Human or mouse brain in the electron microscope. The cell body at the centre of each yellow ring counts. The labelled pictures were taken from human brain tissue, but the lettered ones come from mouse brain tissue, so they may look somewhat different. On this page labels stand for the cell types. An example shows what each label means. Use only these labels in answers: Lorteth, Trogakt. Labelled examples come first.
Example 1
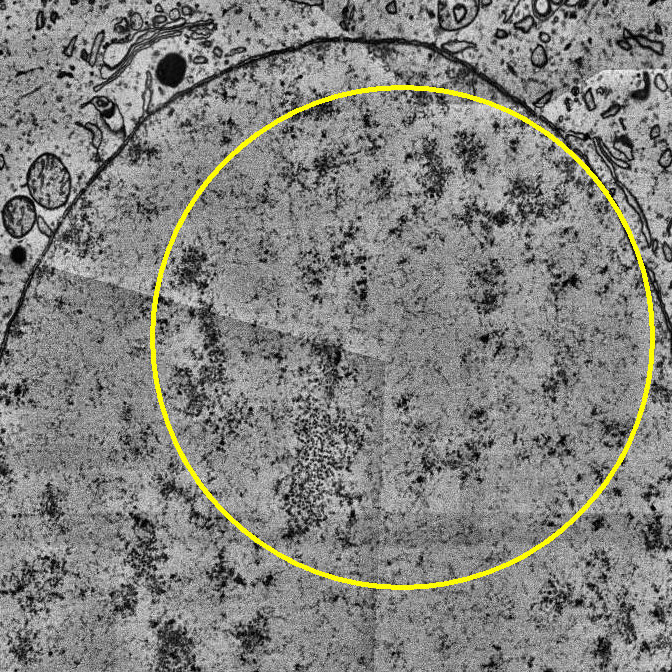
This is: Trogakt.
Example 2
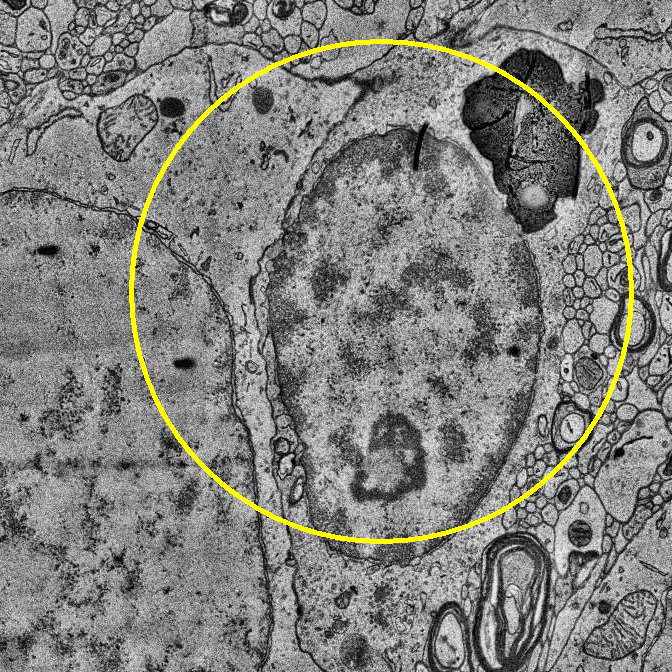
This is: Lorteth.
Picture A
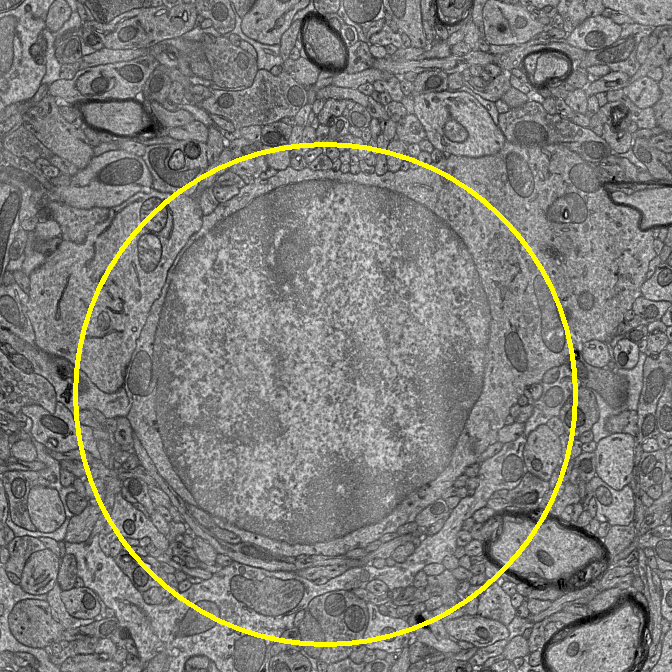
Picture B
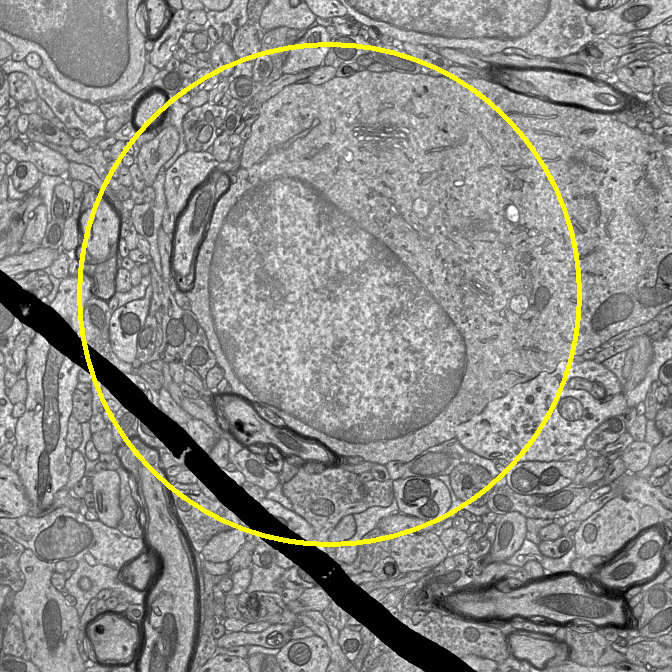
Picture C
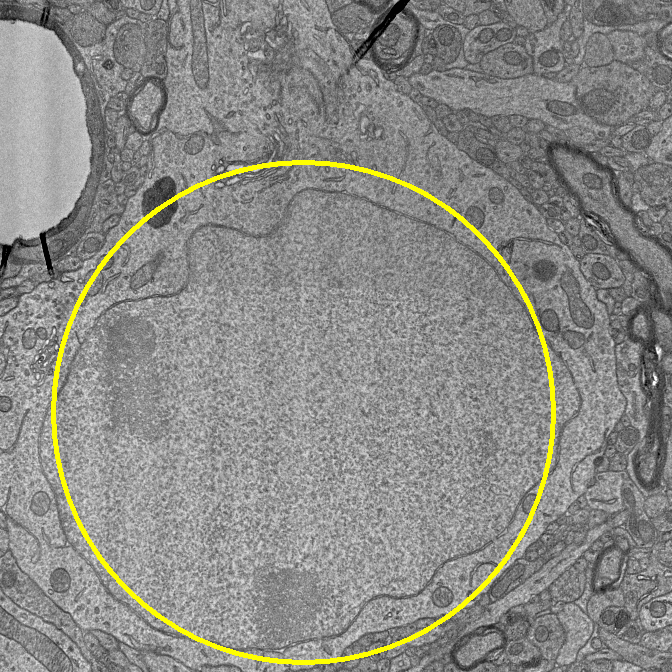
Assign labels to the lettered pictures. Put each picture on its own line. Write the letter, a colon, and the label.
A: Lorteth.
B: Lorteth.
C: Trogakt.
